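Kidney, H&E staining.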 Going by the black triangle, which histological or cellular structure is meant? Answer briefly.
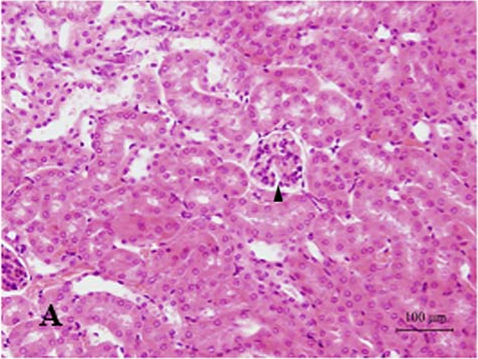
Glomerulus.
